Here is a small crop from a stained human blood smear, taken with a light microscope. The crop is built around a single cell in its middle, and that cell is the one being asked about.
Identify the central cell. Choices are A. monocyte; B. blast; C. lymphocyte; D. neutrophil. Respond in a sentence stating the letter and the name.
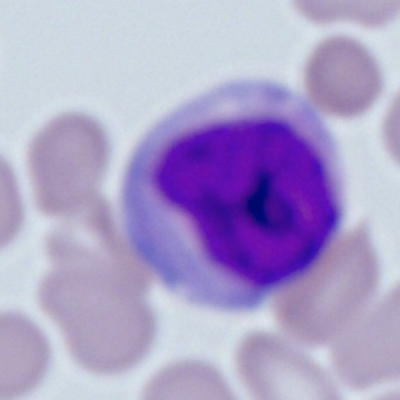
Option A correctly states that the central cell is a monocyte.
